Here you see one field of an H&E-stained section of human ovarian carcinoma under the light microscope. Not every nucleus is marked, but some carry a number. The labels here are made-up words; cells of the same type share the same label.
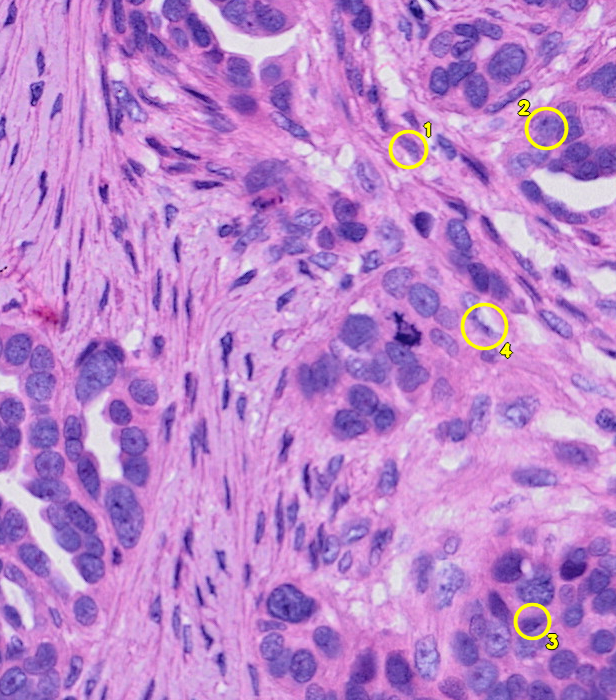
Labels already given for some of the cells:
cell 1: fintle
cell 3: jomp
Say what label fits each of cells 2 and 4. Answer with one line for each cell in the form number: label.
2: jomp
4: fintle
